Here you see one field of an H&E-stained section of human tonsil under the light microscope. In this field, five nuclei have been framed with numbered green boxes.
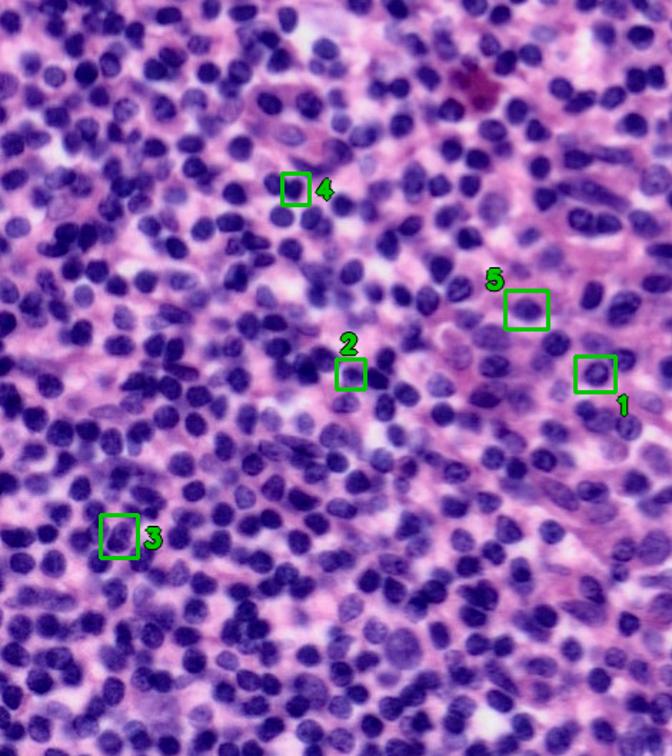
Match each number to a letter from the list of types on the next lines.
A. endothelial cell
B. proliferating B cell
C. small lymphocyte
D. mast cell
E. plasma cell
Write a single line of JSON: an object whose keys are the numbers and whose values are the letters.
{"1": "E", "2": "C", "3": "C", "4": "C", "5": "E"}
